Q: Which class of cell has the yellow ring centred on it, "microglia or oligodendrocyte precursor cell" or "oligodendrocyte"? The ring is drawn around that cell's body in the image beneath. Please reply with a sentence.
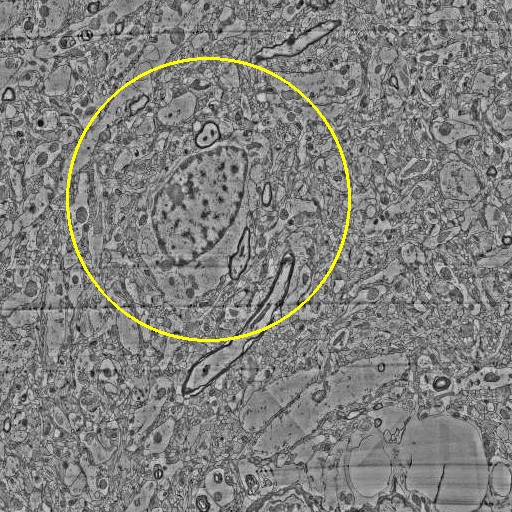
It is centred on a microglial cell or oligodendrocyte precursor cell.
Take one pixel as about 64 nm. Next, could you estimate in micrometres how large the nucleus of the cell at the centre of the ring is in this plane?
Roughly 8 micrometres by 5 micrometres, so the nucleus is clearly longer than it is wide in this plane.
